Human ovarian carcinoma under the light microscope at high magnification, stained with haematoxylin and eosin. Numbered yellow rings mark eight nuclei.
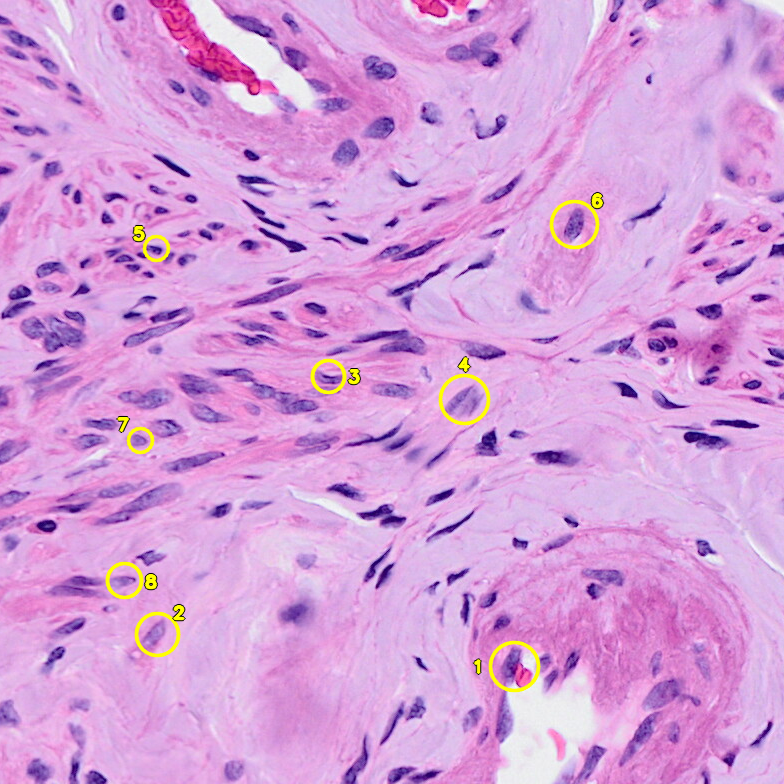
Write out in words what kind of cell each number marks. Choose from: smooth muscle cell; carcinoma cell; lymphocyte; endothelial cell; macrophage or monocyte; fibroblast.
Cell 1 is an endothelial cell, cell 2 is a smooth muscle cell, cell 3 is a smooth muscle cell, cell 4 is a fibroblast, cell 5 is a smooth muscle cell, cell 6 is an endothelial cell, cell 7 is a smooth muscle cell and cell 8 is a smooth muscle cell.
